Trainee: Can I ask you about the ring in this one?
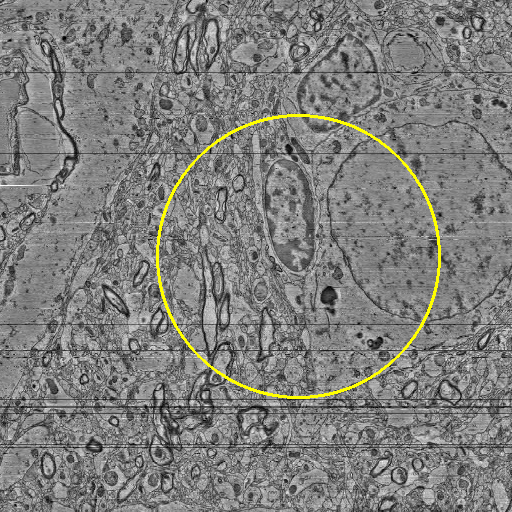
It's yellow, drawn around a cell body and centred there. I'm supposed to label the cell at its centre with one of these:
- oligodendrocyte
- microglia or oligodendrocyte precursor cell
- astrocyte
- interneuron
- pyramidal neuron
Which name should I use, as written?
microglia or oligodendrocyte precursor cell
